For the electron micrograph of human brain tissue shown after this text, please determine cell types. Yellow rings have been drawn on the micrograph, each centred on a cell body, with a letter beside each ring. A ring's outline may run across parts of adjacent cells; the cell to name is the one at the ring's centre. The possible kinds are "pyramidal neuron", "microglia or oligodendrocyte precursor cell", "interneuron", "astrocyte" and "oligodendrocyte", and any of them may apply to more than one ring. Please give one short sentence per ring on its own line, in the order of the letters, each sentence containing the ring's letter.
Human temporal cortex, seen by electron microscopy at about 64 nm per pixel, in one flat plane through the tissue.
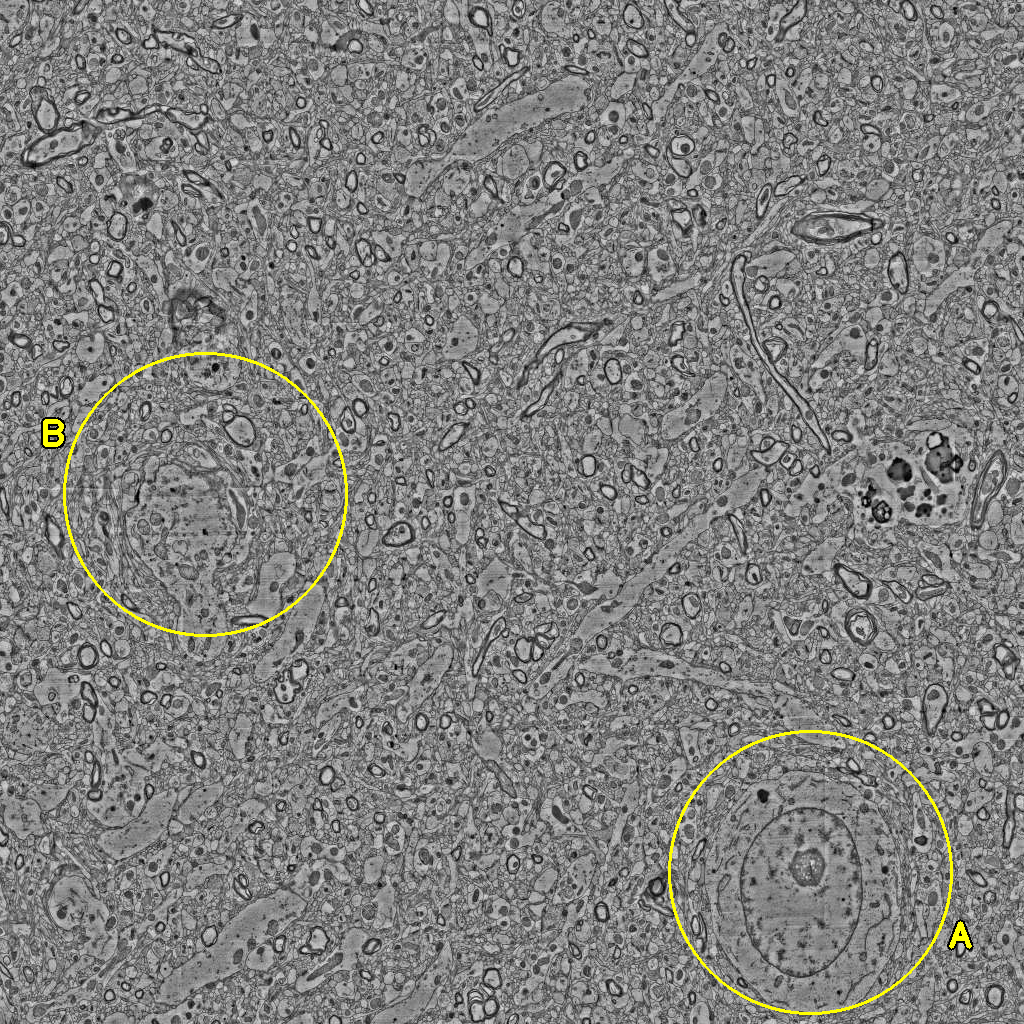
Ring A is set around a pyramidal neuron.
Ring B is set around a microglial cell or oligodendrocyte precursor cell.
